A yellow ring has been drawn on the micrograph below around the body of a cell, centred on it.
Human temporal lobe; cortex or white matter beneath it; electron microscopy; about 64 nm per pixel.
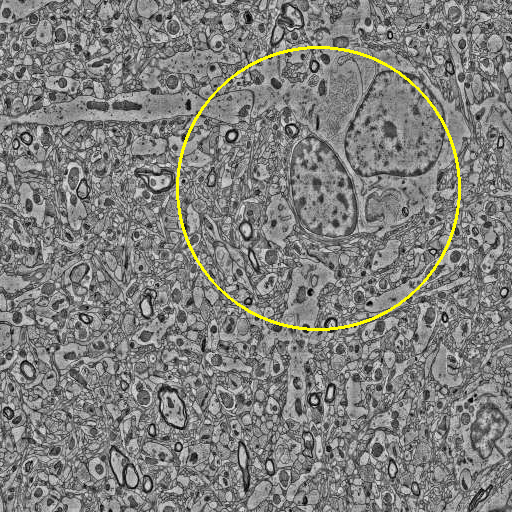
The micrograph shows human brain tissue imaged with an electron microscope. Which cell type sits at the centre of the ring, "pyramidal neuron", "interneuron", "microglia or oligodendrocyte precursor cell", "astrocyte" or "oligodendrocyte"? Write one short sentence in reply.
The cell sitting at the centre of the ring is a microglial cell or oligodendrocyte precursor cell.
